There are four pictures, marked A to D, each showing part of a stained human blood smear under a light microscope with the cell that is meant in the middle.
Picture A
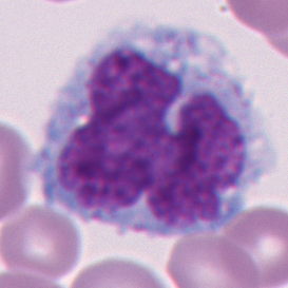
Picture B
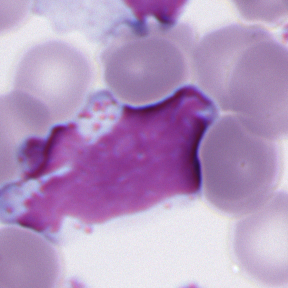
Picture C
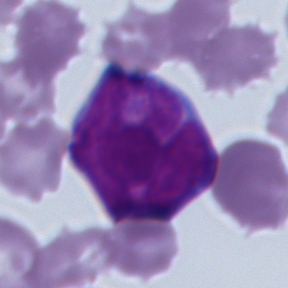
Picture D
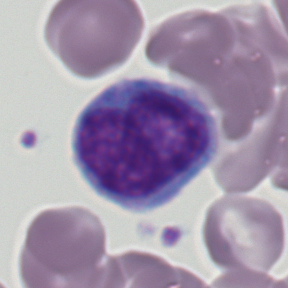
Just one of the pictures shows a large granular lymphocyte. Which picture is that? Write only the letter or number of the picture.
B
